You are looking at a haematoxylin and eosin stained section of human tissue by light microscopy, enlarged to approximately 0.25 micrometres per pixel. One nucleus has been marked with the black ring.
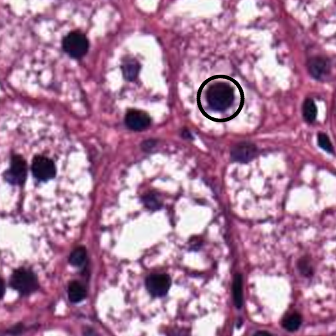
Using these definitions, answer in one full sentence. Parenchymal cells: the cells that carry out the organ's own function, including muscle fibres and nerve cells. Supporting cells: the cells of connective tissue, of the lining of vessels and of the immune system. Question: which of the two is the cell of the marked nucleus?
The marked nucleus is assigned to a parenchymal cell, namely an adrenal cortical cell.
